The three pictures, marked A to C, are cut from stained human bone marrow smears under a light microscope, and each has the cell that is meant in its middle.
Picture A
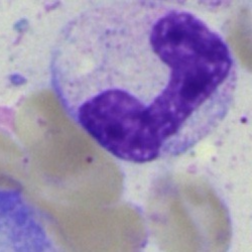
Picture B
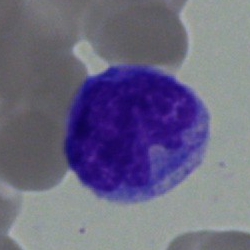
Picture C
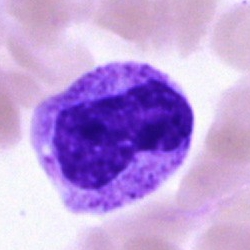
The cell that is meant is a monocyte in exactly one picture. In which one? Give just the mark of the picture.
B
